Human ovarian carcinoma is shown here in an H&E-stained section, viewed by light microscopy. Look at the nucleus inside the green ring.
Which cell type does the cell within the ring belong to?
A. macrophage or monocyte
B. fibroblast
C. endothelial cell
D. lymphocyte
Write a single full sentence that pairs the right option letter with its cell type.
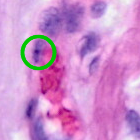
The accurate option is C, with the cell within the ring being an endothelial cell.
